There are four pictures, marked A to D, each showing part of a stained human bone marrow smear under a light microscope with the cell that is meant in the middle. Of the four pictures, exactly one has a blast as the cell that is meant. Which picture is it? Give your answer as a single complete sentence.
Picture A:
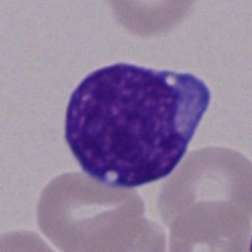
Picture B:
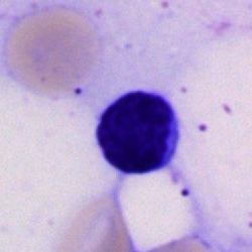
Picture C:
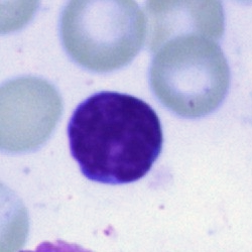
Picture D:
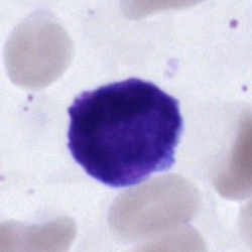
The picture with the blast is A.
